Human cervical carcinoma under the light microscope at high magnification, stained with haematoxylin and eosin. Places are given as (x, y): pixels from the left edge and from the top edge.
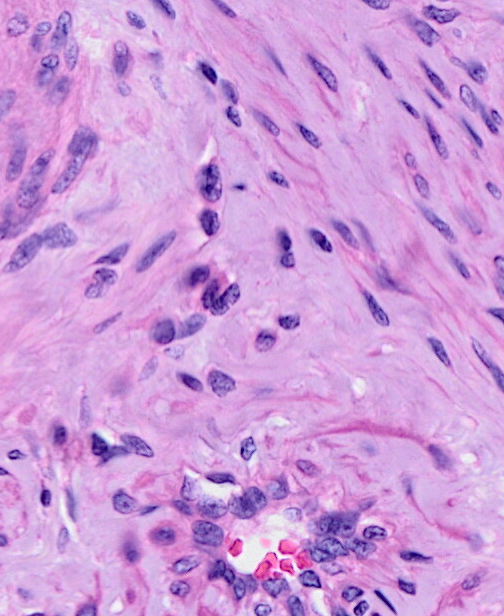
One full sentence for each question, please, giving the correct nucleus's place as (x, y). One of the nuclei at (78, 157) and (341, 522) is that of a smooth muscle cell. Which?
Rather than the other nucleus, the one at (78, 157) belongs to a smooth muscle cell.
